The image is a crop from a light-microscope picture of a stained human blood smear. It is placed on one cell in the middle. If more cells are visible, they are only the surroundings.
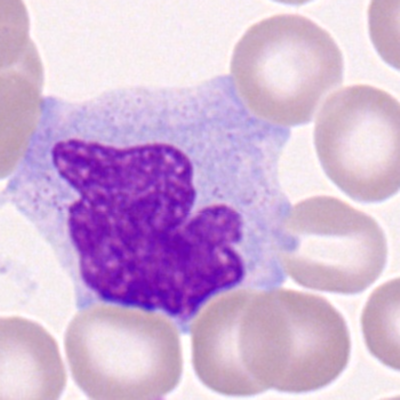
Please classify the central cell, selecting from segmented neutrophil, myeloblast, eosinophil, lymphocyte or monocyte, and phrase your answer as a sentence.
The cell shown in the center of this light-microscope crop is a monocyte.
